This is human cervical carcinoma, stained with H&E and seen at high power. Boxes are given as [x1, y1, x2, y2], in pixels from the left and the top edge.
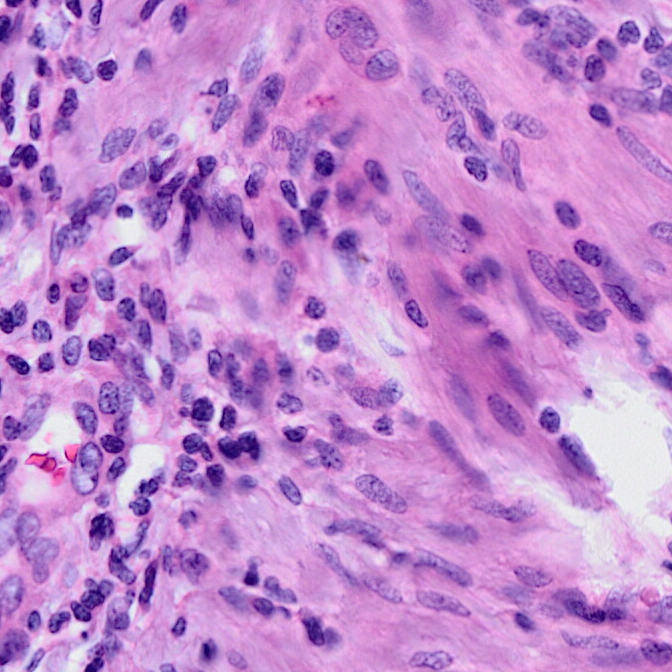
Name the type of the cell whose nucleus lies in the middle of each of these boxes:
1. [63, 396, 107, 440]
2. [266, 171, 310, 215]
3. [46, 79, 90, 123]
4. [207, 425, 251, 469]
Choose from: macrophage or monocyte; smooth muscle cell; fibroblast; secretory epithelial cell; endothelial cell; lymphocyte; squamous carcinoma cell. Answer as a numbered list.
1. endothelial cell
2. lymphocyte
3. lymphocyte
4. lymphocyte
